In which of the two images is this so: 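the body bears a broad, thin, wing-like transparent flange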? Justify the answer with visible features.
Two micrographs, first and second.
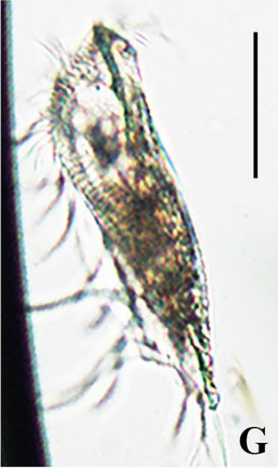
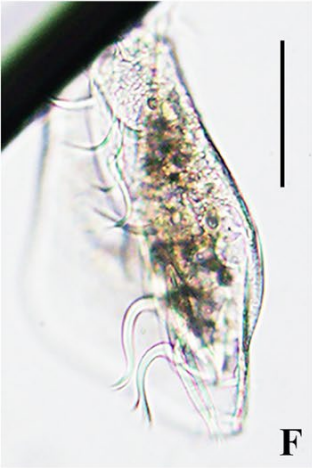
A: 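The second image. First image: a slender spindle-shaped cell in side view without a broad flange. Second image: a wide clear extension projects from one side of the granular body.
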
